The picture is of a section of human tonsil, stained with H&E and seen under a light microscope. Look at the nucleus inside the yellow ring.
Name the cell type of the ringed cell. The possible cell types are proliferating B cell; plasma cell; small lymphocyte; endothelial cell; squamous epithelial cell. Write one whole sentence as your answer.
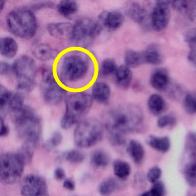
This is a proliferating B cell.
